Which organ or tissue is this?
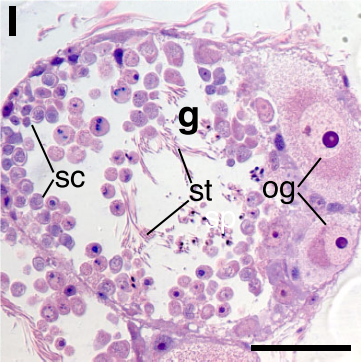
Ovotestis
